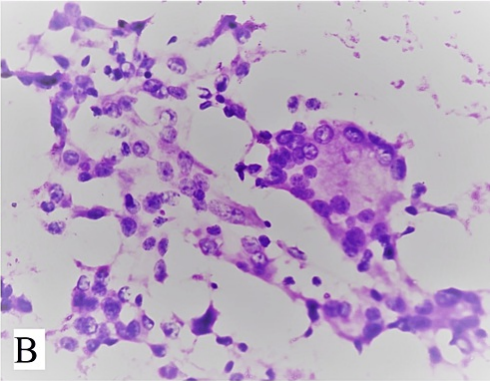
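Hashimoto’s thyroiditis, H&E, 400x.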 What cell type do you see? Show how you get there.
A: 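At right, one large cell holds many round nuclei within a shared pink cytoplasm. This cell is several times larger than the cells around it.
Multinucleated giant cell.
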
